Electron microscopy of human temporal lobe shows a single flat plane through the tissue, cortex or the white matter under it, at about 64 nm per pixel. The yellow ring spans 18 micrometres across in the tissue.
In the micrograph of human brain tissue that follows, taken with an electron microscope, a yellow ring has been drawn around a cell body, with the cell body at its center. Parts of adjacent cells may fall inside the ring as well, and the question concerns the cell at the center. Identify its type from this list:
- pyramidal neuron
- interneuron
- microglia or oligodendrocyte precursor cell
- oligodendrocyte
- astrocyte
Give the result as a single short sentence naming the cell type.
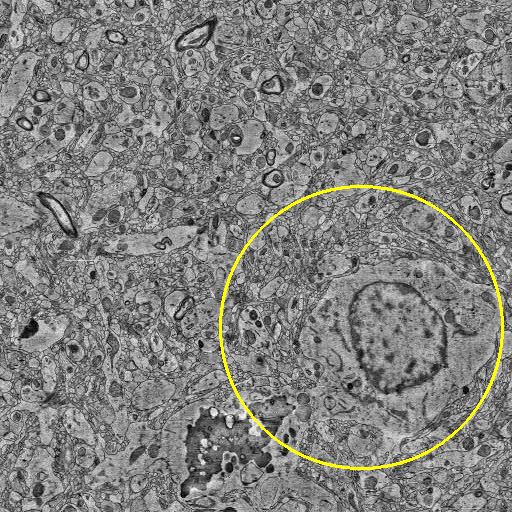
The ring is centered on an astrocyte.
